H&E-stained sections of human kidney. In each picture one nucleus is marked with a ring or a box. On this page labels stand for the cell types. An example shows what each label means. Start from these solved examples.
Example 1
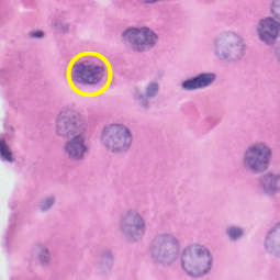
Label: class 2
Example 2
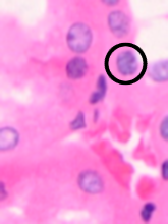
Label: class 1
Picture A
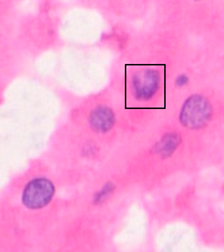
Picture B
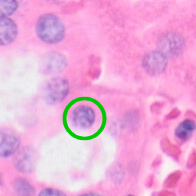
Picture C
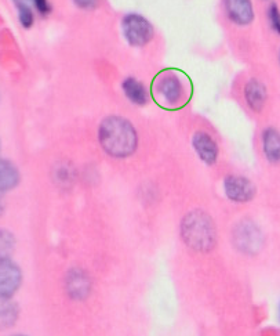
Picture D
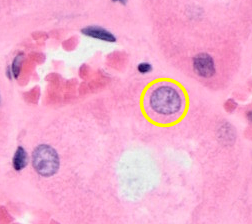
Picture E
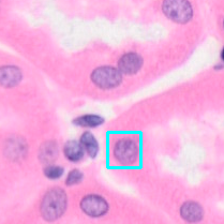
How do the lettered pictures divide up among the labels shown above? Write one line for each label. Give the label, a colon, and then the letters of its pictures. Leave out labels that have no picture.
class 2: A, D, E
class 1: B, C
